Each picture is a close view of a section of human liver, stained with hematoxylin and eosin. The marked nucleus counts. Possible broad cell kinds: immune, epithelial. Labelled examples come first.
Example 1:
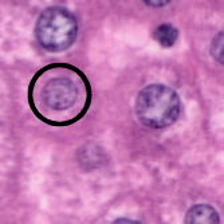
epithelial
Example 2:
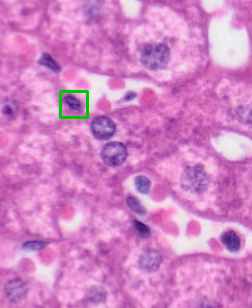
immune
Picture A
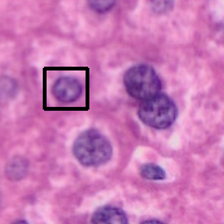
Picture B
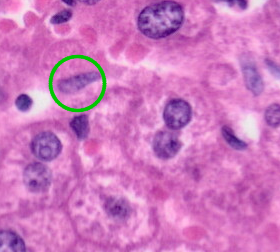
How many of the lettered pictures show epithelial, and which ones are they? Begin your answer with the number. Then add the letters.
Count: 1 (A)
